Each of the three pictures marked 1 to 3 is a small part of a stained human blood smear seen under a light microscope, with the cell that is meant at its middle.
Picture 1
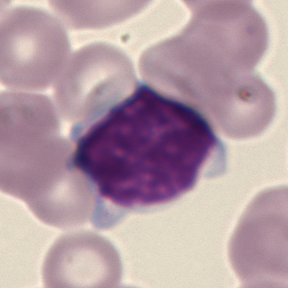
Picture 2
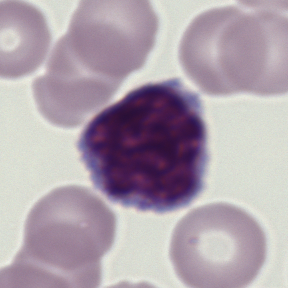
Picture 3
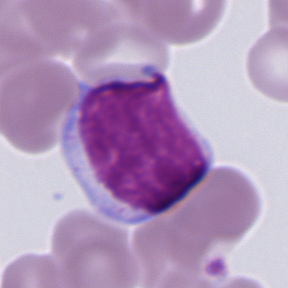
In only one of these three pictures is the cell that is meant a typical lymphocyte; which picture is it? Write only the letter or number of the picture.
2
